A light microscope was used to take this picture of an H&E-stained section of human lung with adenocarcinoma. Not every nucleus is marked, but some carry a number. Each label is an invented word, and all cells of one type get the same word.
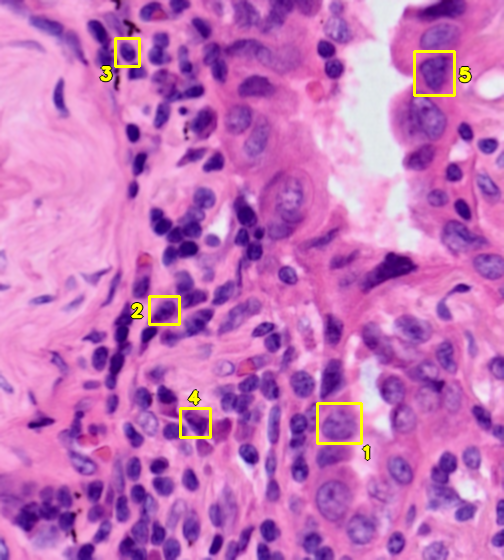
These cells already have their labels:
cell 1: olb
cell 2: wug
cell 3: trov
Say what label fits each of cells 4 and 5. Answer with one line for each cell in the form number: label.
4: wug
5: olb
